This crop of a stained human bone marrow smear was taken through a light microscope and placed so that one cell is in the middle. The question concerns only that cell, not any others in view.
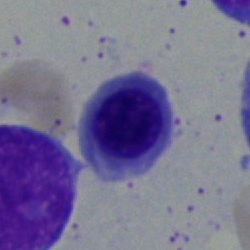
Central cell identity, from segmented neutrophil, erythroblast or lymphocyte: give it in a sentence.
What the crop centres on is an erythroblast.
